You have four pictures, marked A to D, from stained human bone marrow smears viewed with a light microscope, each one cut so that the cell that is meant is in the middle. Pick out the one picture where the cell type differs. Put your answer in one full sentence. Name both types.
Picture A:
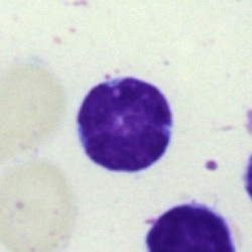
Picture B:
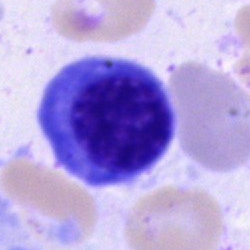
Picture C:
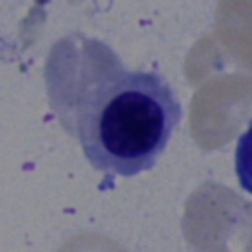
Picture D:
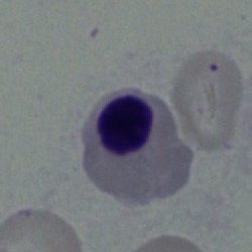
Unlike the rest, which show erythroblasts, picture A shows a lymphocyte.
